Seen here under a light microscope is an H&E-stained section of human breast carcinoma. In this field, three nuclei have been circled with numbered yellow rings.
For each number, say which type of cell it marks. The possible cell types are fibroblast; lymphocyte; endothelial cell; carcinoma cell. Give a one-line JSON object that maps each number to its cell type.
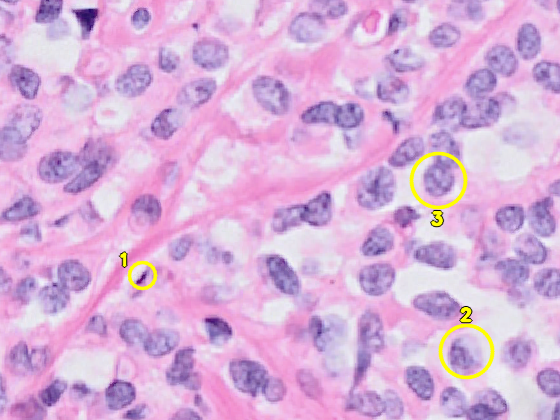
{"1": "endothelial cell", "2": "carcinoma cell", "3": "carcinoma cell"}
